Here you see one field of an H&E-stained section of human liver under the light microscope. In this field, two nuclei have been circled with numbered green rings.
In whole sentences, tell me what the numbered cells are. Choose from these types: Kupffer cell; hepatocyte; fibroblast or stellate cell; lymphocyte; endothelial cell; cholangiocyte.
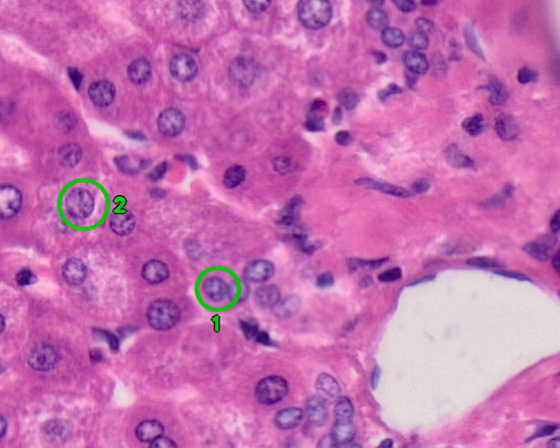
Cell 1 is a cholangiocyte. Cell 2 is a hepatocyte.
